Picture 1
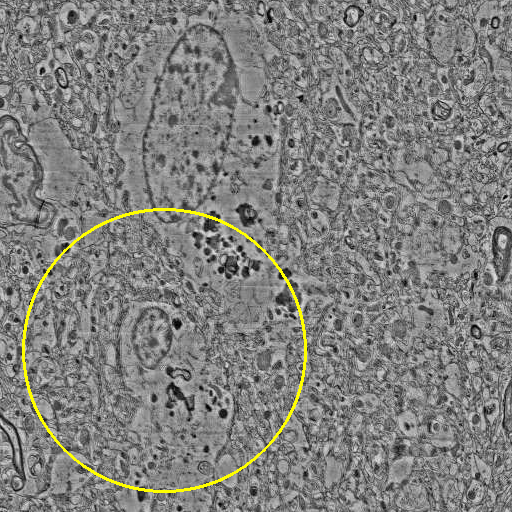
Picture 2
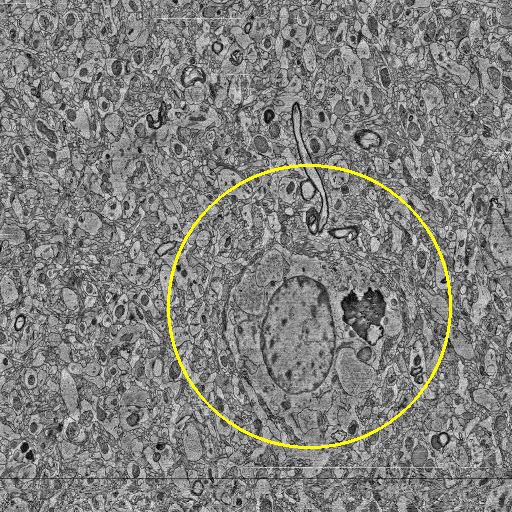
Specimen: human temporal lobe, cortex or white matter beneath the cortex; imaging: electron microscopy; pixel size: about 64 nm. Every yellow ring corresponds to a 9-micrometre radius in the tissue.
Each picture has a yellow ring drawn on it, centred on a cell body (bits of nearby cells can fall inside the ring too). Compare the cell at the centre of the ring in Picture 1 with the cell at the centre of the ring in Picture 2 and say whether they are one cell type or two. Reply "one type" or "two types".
one type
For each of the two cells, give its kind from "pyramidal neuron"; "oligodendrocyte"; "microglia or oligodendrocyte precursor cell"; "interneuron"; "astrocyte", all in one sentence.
Each cell, in the first picture and the second, is an astrocyte.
